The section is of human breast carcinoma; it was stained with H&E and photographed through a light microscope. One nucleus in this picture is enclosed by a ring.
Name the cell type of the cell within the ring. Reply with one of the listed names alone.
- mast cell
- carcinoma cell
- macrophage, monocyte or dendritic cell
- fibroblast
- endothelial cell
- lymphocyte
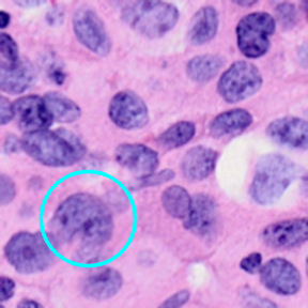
carcinoma cell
